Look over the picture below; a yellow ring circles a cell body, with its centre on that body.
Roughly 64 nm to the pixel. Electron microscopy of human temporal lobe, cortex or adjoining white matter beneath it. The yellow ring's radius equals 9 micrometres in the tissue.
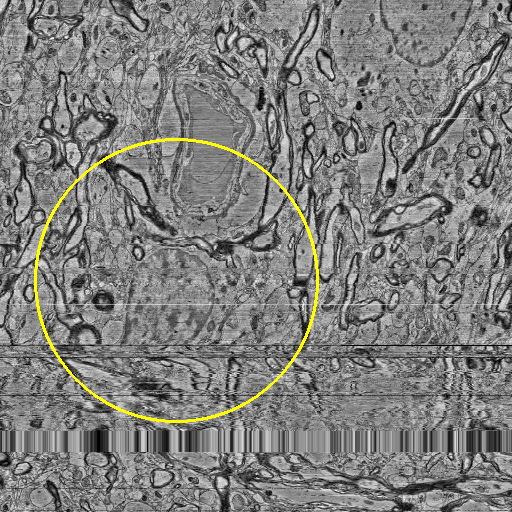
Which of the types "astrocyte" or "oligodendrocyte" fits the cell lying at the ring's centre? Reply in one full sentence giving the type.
The picture shows an oligodendrocyte at the centre of the yellow ring.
